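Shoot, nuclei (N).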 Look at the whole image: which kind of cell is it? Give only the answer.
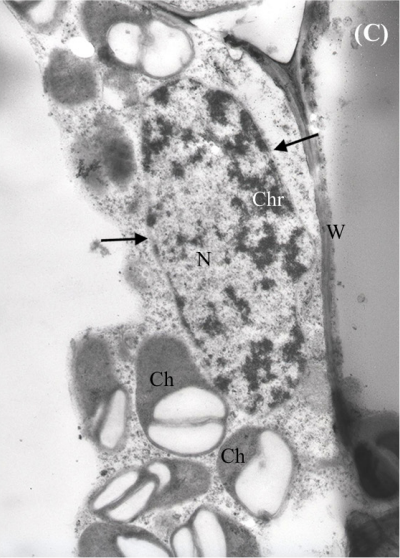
parenchymal cells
